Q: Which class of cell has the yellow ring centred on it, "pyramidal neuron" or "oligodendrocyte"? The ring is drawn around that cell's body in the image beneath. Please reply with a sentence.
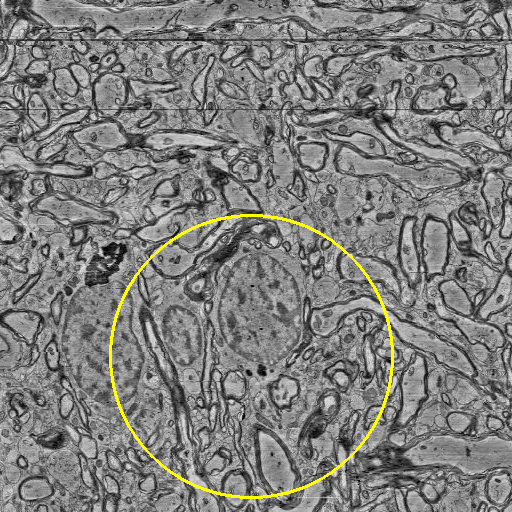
It is centred on an oligodendrocyte.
